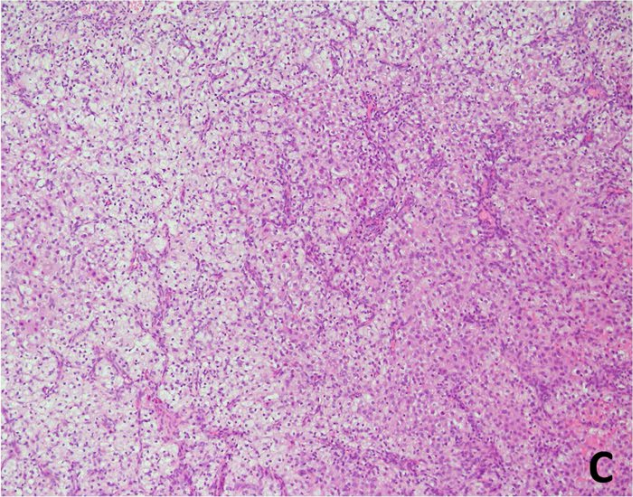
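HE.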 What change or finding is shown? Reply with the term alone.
two cell populations of clear (left-upper) and eosinophilic cytoplasm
